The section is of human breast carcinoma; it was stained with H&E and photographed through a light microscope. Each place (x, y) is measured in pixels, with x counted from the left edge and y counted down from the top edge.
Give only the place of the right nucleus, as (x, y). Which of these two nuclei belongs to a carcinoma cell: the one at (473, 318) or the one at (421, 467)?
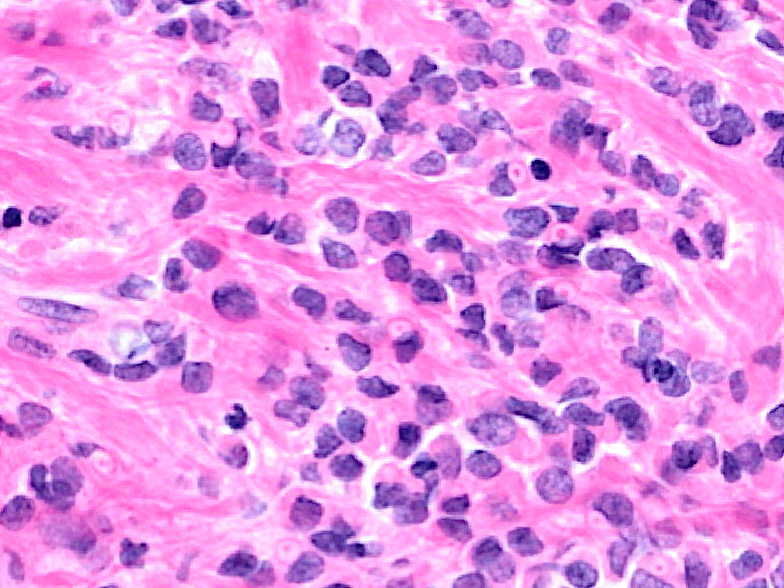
(473, 318)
